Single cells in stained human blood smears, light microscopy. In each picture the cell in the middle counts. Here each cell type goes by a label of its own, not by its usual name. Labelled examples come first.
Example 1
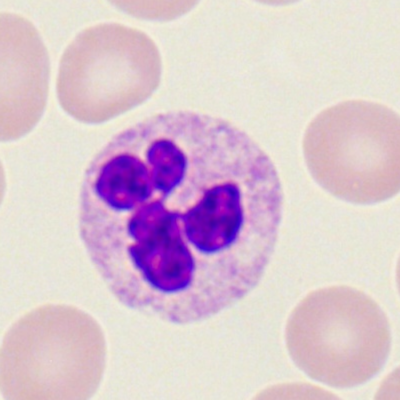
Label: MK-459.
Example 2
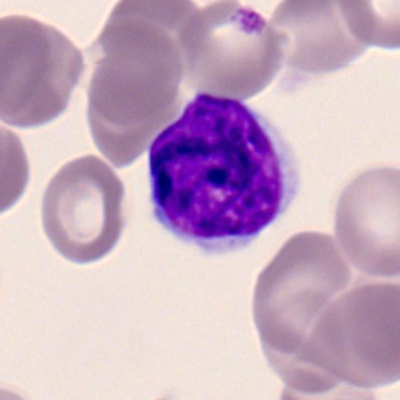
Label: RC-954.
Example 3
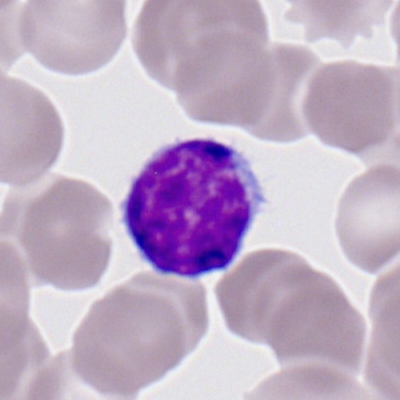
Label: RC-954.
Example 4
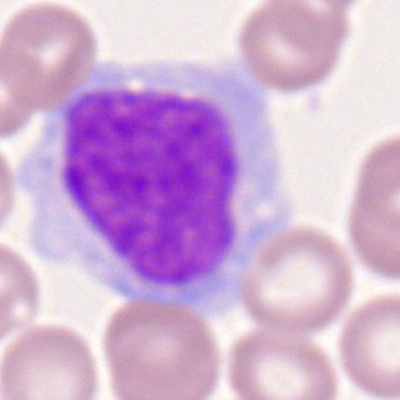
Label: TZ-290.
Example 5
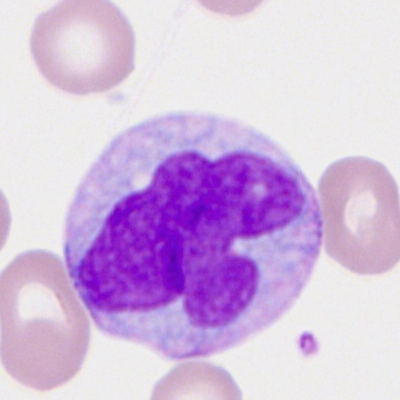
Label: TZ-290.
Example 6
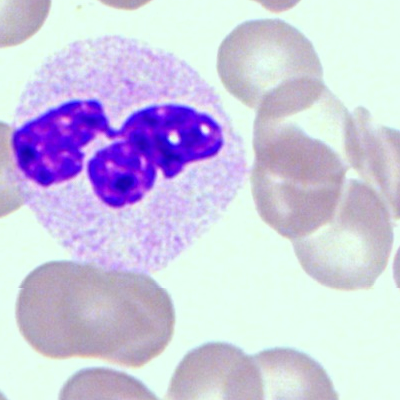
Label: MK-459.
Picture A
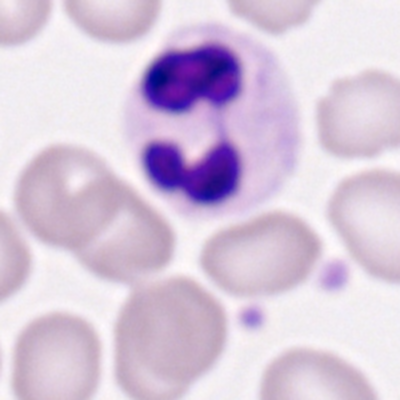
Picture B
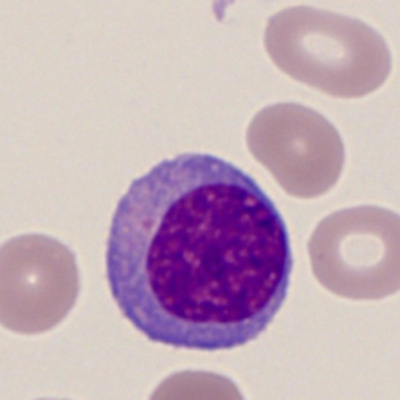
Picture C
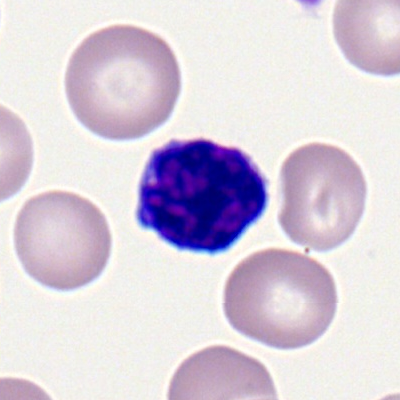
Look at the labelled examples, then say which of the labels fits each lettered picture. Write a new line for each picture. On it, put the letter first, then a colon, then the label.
A: MK-459.
B: RC-954.
C: RC-954.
